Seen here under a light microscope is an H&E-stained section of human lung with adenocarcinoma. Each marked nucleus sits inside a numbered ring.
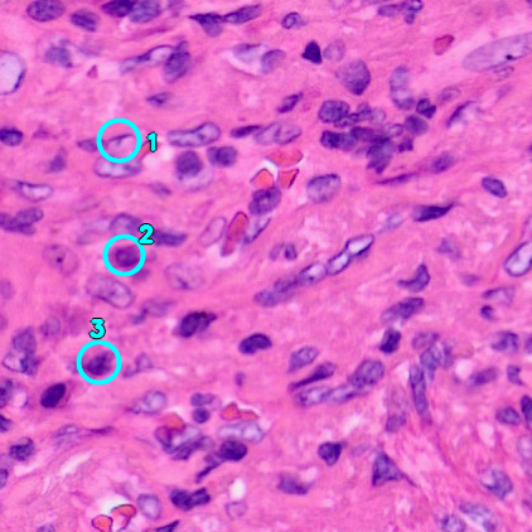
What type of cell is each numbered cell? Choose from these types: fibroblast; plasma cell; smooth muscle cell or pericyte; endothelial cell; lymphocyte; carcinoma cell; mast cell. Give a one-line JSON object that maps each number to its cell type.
{"1": "endothelial cell", "2": "plasma cell", "3": "plasma cell"}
